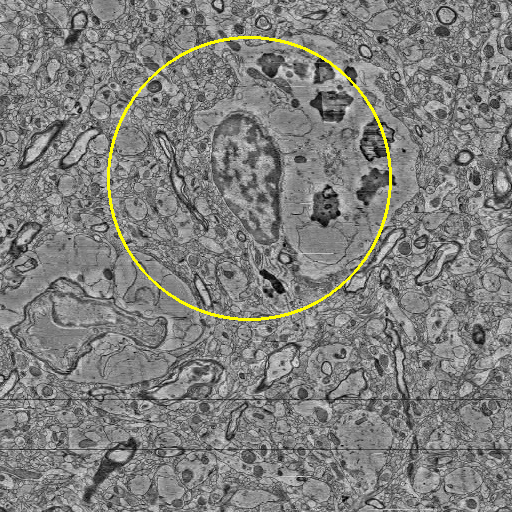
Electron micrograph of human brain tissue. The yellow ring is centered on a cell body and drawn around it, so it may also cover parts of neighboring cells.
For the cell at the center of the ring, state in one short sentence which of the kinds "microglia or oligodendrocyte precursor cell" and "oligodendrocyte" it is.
This ring is centered on a microglial cell or oligodendrocyte precursor cell.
